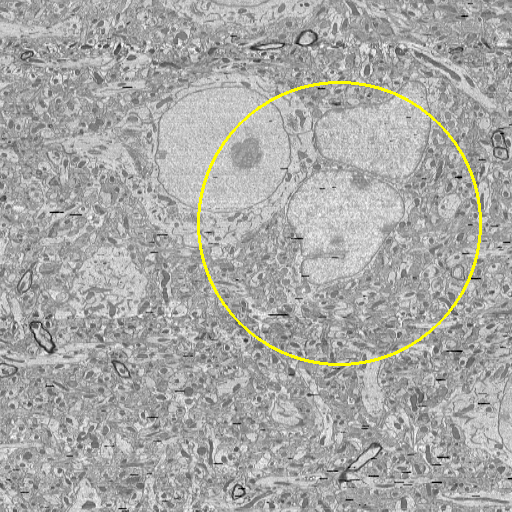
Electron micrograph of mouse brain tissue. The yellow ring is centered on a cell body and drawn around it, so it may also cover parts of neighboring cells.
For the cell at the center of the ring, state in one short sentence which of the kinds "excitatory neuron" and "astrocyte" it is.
This ring is centered on an astrocyte.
